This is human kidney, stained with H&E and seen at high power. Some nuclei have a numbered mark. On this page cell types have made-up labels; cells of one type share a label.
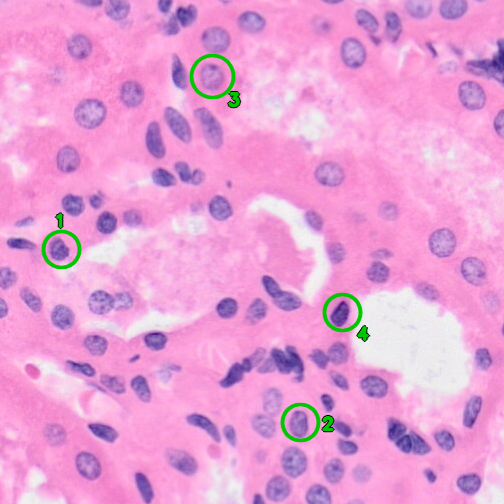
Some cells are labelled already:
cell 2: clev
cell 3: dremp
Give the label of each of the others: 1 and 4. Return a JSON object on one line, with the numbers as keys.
{"1": "clev", "4": "clev"}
